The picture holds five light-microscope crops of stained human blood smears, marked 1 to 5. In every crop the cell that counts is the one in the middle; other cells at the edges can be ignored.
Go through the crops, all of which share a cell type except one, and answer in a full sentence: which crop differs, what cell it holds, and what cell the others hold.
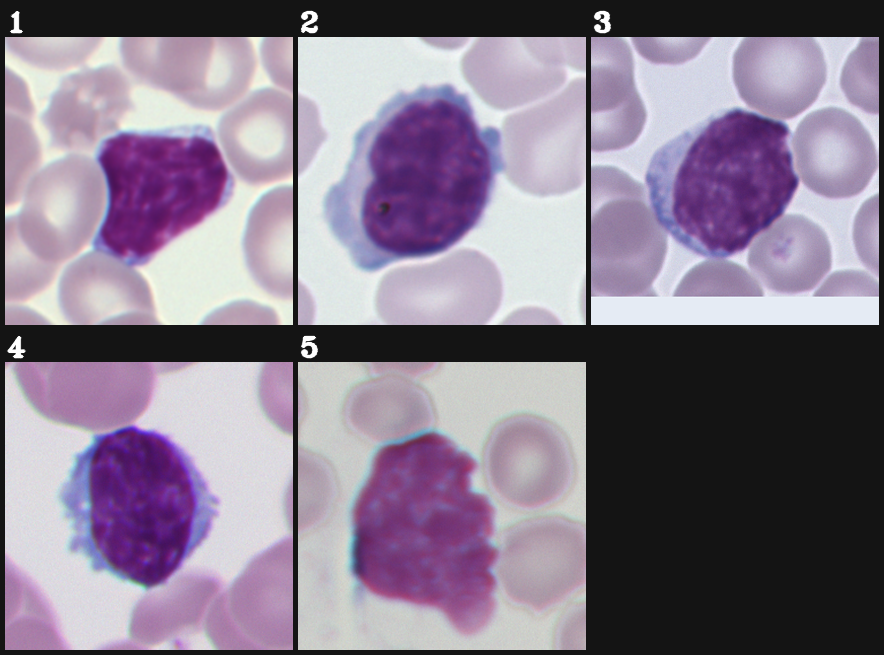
Crop 5 alone shows a smudge cell; the other crops are all typical lymphocytes.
